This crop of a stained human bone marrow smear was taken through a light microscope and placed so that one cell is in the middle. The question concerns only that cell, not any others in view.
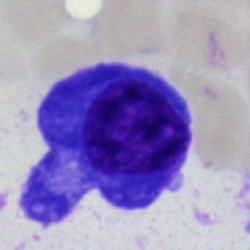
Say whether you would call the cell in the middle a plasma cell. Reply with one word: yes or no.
yes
